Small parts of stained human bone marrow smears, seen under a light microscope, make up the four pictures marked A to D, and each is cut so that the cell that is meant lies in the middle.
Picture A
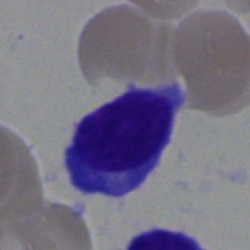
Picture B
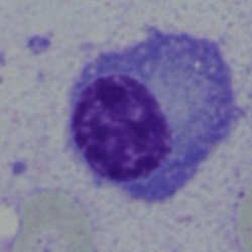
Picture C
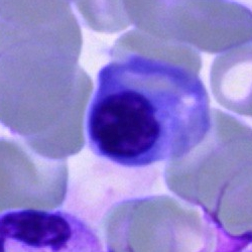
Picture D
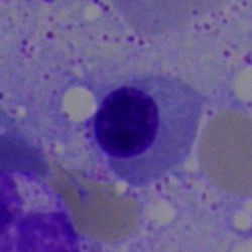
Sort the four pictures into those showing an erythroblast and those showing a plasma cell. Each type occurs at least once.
A: plasma cell
B: plasma cell
C: erythroblast
D: erythroblast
